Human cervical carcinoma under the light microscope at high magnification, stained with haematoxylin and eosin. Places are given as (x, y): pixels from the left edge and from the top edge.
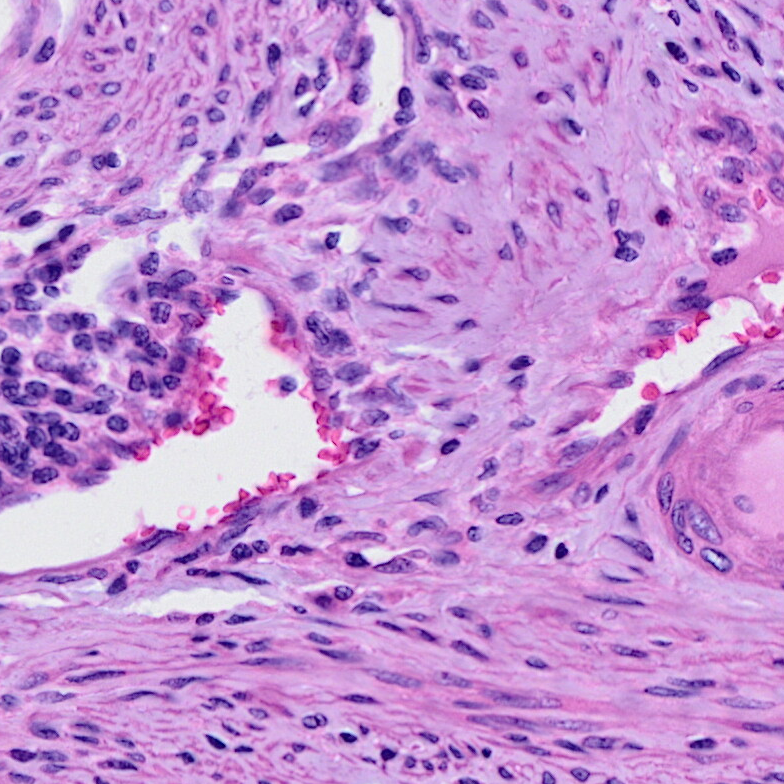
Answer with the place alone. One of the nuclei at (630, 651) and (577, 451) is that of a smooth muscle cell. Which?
(630, 651)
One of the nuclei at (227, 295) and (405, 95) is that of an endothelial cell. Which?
(227, 295)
